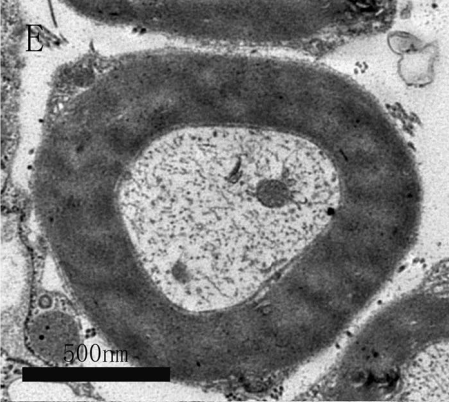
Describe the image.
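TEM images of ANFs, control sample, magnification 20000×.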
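A thick, dark, evenly wide myelin sheath forms a ring around a pale axon. The axoplasm has a fine, loose granular and filamentous texture and contains small round mitochondria profiles. Around the fibre lie thin processes and parts of neighbouring myelinated fibres, with pale extracellular space between them. The sheath appears compact and continuous around the whole circumference, with a smooth inner and outer border.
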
